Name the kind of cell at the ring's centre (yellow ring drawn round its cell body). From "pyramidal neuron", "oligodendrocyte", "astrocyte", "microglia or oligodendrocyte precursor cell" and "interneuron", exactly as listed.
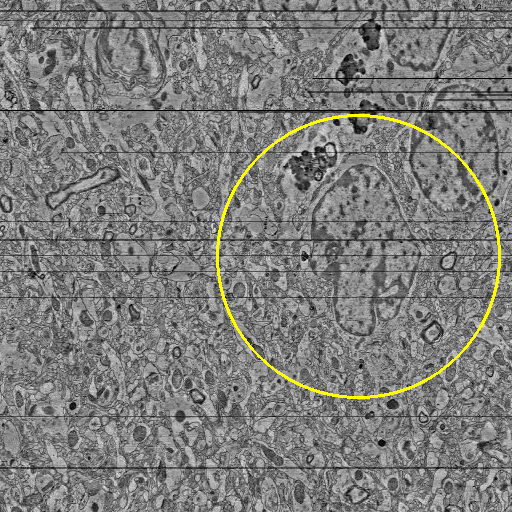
microglia or oligodendrocyte precursor cell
